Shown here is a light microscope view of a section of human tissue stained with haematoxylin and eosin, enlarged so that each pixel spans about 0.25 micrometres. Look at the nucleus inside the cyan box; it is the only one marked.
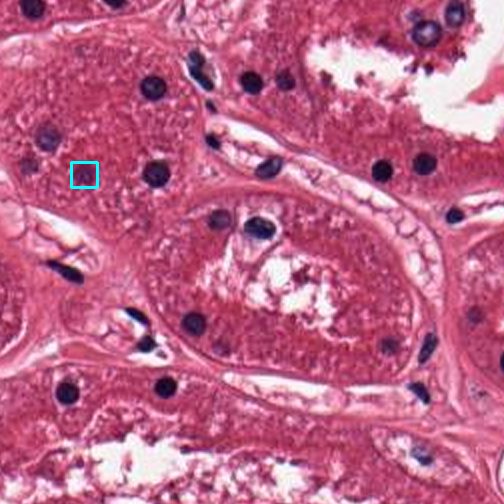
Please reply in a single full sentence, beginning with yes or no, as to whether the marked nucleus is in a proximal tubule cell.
Yes, the marked nucleus is that of a proximal tubule cell.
